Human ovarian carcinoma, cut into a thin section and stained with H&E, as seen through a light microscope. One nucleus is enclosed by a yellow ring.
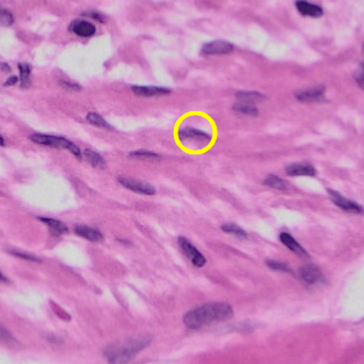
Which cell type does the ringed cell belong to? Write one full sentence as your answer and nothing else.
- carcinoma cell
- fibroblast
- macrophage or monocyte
Within the stained tissue, the ringed cell is a fibroblast.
